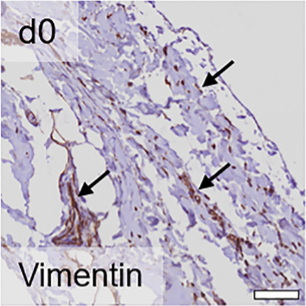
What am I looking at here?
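The fibroblasts are slender, spindle-shaped cells with elongated nuclei, aligned in wavy bands that follow the fibers of the stroma. The pale, layered fibrous matrix between them is largely unstained. At the lower left, brown staining also outlines the wall of a vessel-like space.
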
